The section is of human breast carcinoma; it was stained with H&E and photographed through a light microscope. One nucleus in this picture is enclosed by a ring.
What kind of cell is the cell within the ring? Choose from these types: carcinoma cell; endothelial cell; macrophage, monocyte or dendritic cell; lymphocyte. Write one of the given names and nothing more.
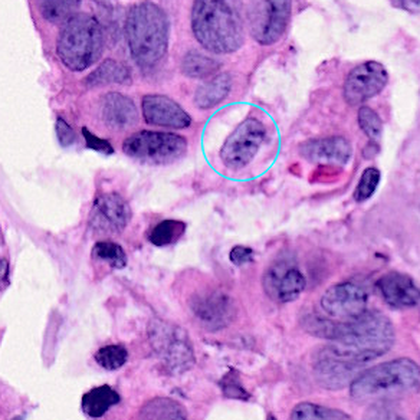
macrophage, monocyte or dendritic cell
